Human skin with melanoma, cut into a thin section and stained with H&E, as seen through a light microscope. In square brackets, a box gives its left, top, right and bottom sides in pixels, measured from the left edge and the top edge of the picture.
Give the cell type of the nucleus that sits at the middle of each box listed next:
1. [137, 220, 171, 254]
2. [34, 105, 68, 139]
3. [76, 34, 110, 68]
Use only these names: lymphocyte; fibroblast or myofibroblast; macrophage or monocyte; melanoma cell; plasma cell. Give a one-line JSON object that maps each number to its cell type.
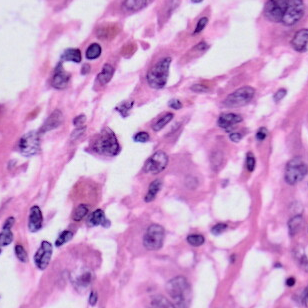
{"1": "melanoma cell", "2": "fibroblast or myofibroblast", "3": "lymphocyte"}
